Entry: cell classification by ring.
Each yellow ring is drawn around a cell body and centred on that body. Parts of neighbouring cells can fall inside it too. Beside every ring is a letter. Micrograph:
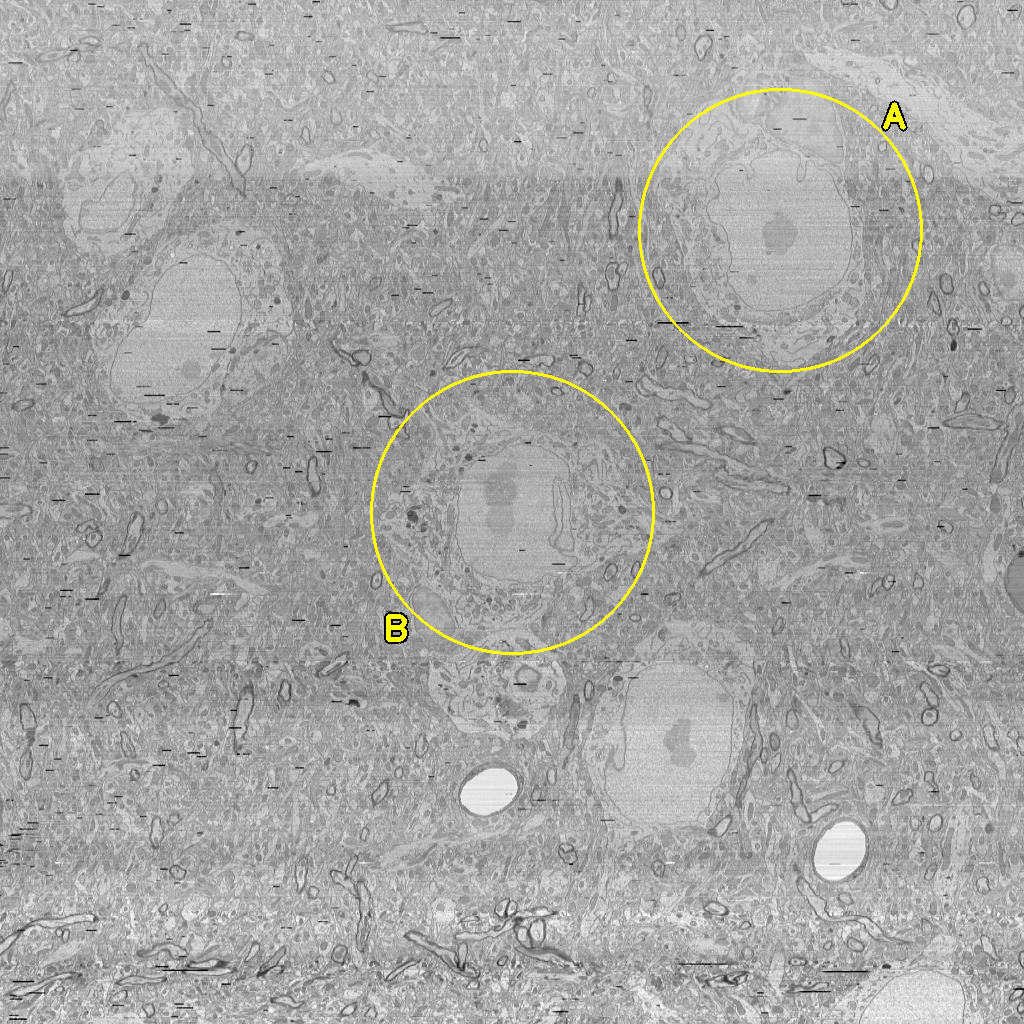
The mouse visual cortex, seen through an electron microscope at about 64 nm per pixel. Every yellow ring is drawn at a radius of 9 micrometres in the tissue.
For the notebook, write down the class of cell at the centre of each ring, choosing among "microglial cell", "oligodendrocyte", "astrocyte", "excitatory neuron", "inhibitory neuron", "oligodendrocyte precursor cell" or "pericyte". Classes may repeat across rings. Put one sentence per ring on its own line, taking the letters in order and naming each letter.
Ring A marks an excitatory neuron.
Ring B marks an inhibitory neuron.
